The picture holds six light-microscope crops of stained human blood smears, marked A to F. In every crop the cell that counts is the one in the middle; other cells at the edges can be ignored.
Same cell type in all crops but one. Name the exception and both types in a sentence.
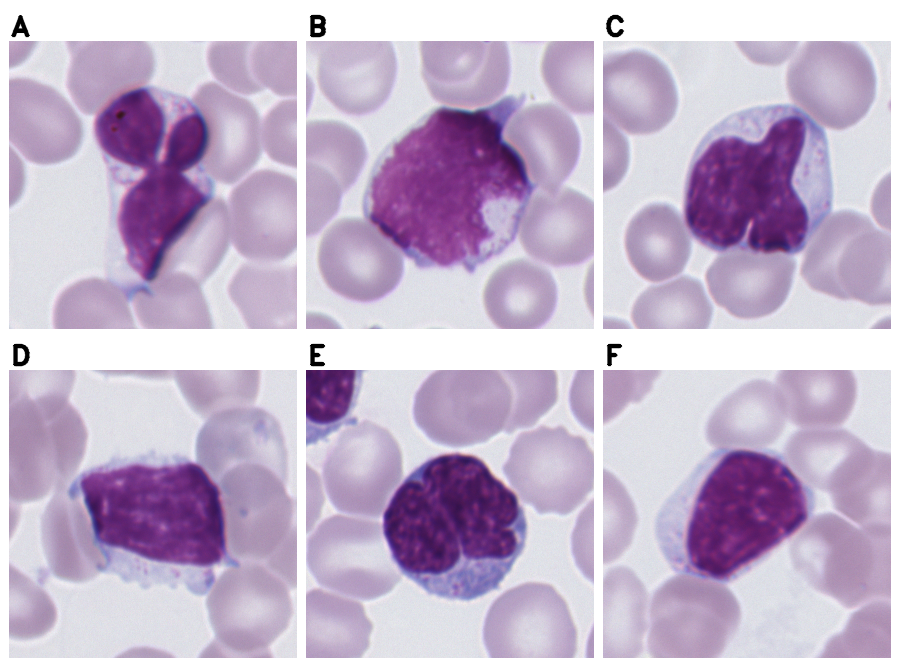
Apart from crop E, a typical lymphocyte, the crops all show large granular lymphocytes.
